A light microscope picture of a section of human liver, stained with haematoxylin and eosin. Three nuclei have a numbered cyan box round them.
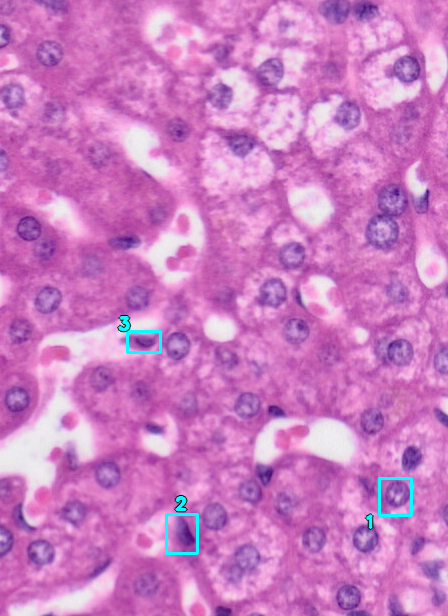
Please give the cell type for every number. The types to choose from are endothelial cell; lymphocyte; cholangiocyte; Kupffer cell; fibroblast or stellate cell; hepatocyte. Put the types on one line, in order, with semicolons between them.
hepatocyte; fibroblast or stellate cell; Kupffer cell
